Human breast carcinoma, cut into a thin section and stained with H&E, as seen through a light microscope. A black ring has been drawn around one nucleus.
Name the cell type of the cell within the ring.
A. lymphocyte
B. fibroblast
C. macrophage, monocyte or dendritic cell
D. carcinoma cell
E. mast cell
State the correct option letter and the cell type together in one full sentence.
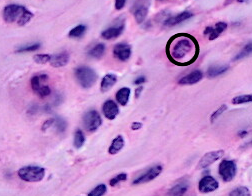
Option E wins here: the cell within the ring is a mast cell.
